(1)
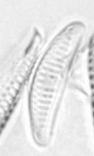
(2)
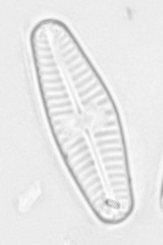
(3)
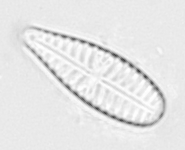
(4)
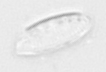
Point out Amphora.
That is picture 1.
